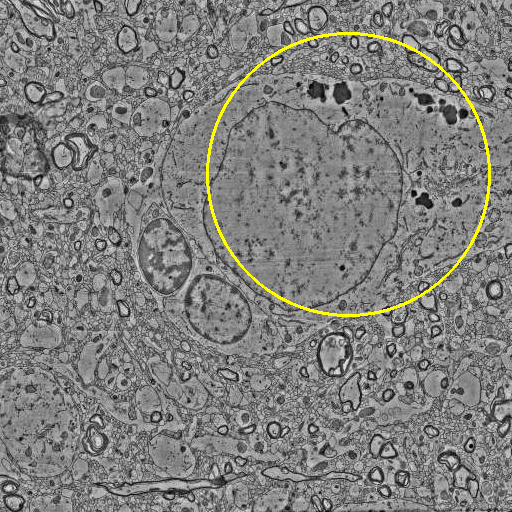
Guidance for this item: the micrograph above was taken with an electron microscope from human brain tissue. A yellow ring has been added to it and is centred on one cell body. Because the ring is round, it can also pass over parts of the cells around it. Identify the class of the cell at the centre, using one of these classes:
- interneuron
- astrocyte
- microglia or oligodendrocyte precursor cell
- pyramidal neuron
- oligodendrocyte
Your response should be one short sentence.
The ring surrounds the body of a pyramidal neuron.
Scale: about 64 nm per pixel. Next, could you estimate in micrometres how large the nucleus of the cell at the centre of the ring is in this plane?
In this plane the nucleus is about 13 micrometres across.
